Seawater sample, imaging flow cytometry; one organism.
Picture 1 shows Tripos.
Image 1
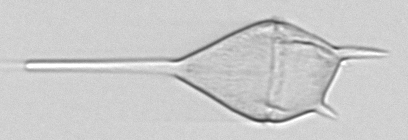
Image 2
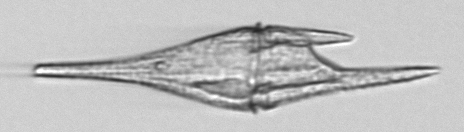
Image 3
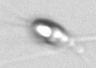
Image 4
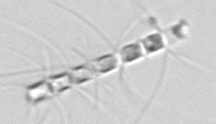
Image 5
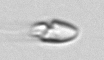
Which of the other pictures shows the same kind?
Picture 2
